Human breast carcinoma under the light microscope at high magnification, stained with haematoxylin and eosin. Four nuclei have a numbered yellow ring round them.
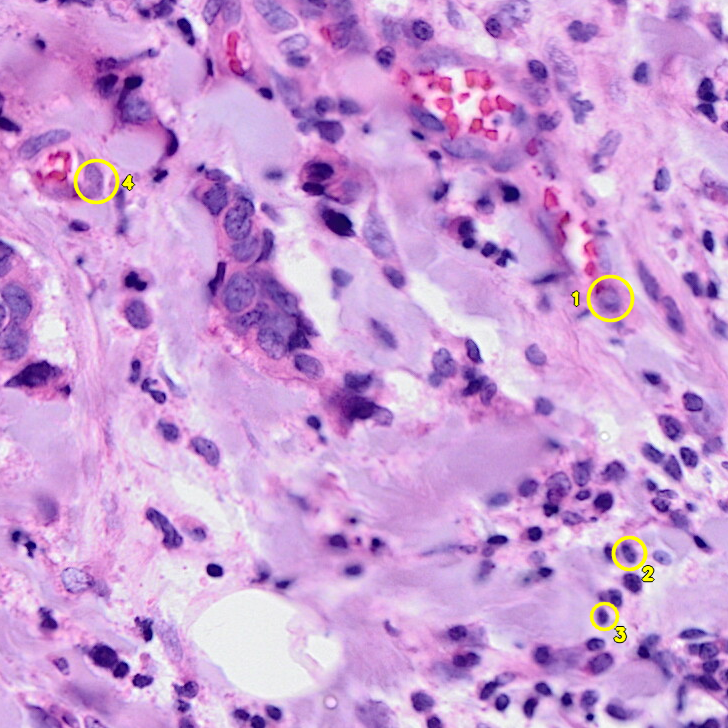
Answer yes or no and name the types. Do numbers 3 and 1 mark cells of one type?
No, whereas cell 1 is an endothelial cell, cell 3 is a lymphocyte.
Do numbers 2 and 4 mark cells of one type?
No, cell 4 is an endothelial cell, whereas cell 2 is a lymphocyte.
